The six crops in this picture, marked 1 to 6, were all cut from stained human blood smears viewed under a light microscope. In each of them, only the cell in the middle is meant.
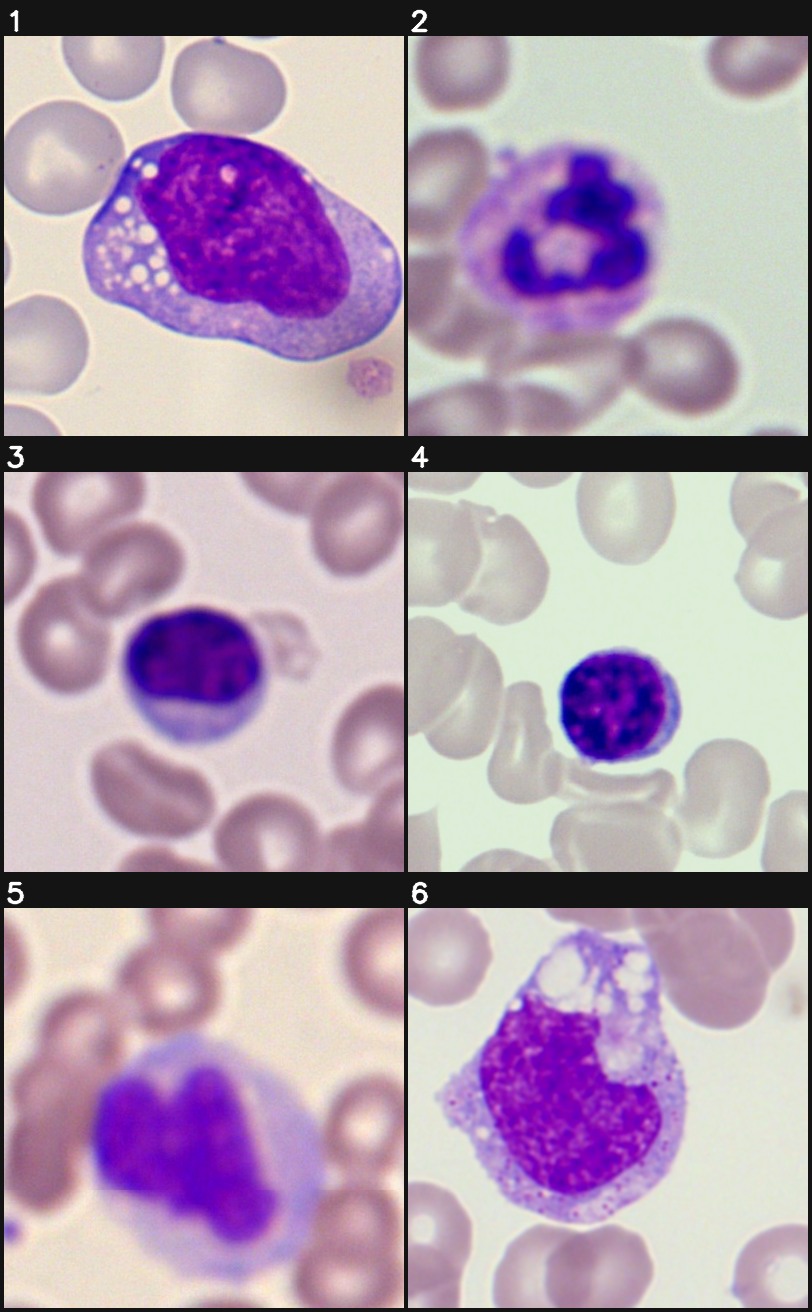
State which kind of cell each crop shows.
1: monocyte
2: segmented neutrophil
3: lymphocyte
4: lymphocyte
5: monocyte
6: monocyte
